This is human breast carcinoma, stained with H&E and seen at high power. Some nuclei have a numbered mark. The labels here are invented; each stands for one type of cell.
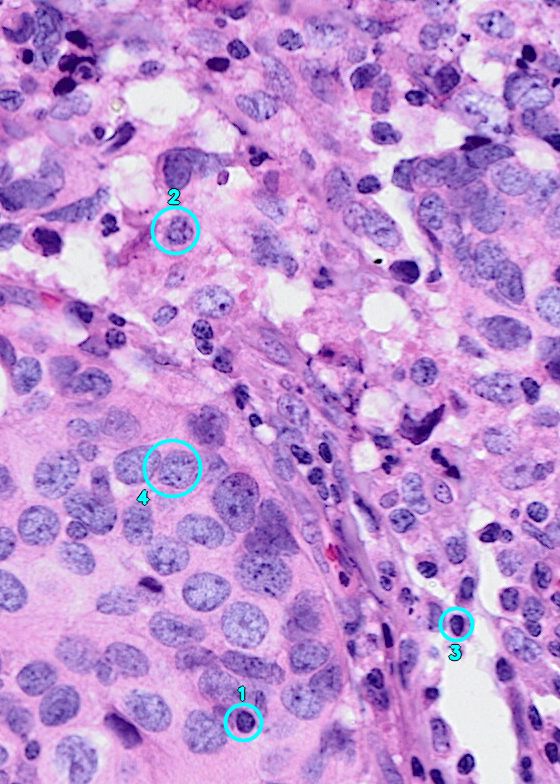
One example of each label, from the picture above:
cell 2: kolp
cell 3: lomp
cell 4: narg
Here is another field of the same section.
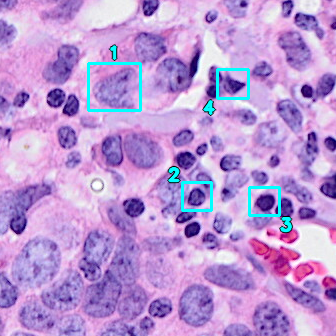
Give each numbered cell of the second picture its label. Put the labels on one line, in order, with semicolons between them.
narg; lomp; lomp; lomp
